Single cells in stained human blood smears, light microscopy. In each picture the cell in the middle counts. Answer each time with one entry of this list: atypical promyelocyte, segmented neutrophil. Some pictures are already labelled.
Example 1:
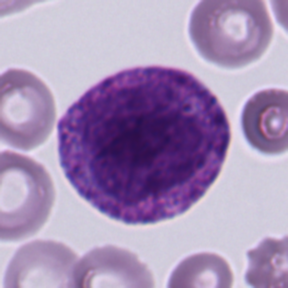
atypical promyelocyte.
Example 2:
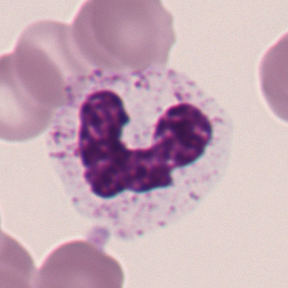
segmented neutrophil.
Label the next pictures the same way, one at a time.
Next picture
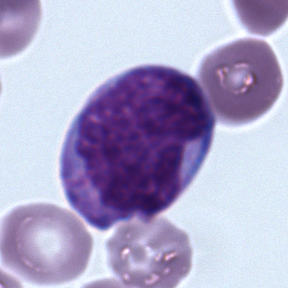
atypical promyelocyte.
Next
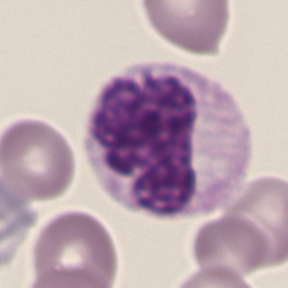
segmented neutrophil.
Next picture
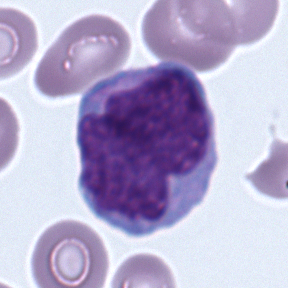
atypical promyelocyte.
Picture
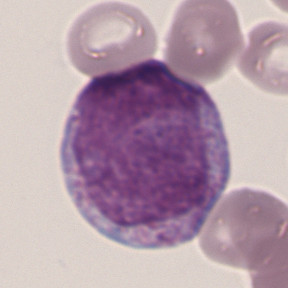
atypical promyelocyte.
